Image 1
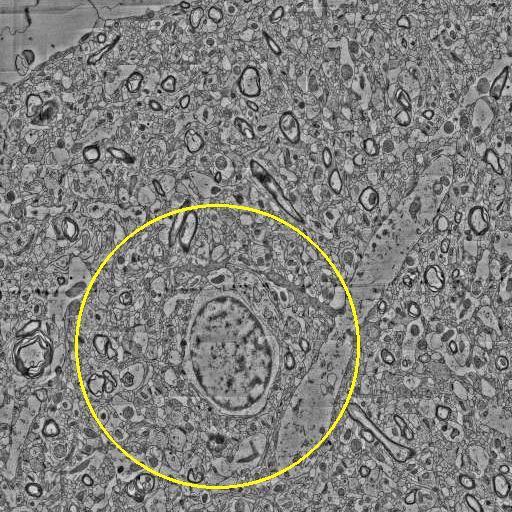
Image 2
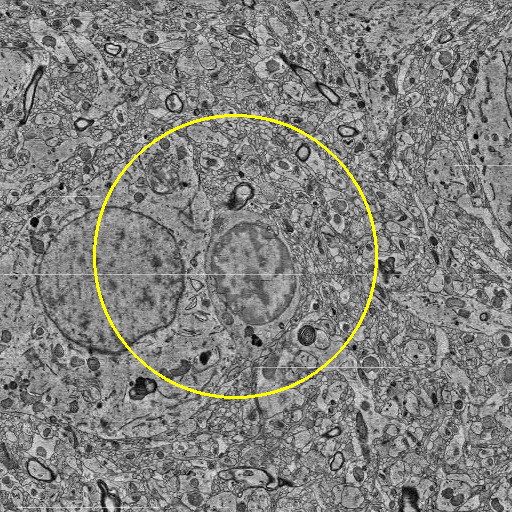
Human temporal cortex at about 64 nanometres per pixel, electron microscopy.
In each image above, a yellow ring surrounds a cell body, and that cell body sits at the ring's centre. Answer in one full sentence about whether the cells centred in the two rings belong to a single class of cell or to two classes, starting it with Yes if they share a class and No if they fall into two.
No, the cells centred in the two yellow rings belong to two classes of cell.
